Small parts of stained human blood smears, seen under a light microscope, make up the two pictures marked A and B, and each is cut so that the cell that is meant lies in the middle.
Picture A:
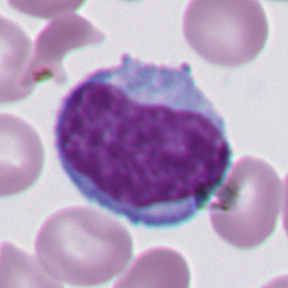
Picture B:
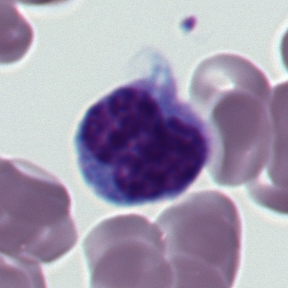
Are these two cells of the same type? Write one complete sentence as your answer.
Yes, both are monocytes.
